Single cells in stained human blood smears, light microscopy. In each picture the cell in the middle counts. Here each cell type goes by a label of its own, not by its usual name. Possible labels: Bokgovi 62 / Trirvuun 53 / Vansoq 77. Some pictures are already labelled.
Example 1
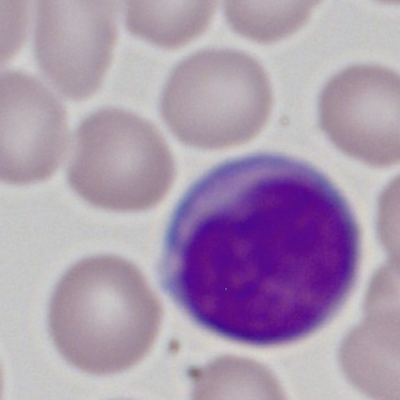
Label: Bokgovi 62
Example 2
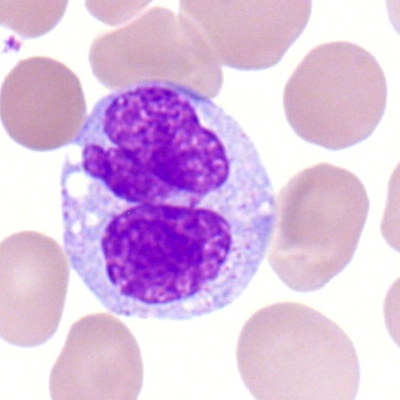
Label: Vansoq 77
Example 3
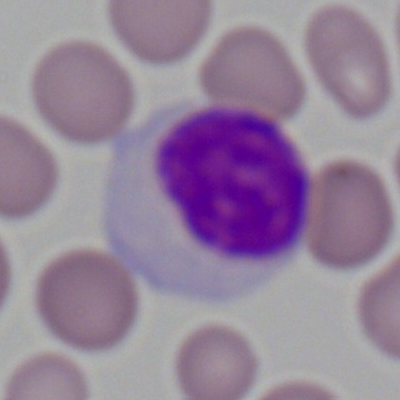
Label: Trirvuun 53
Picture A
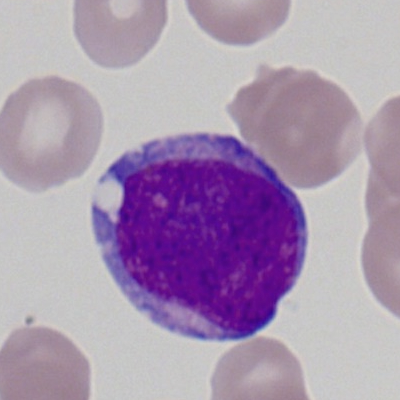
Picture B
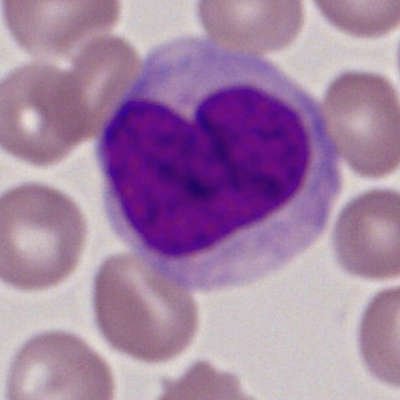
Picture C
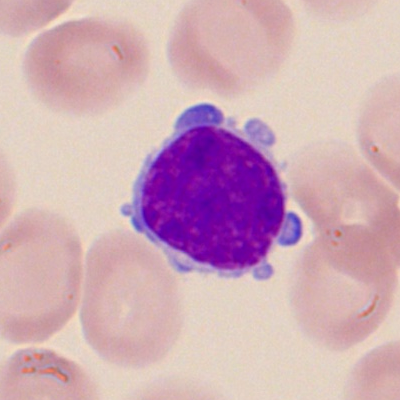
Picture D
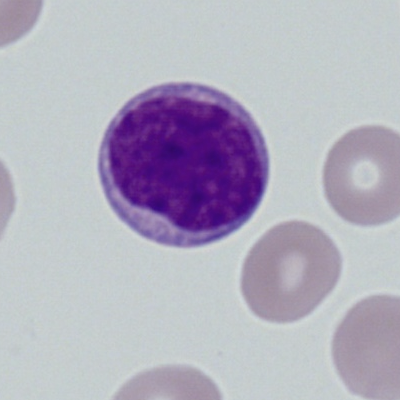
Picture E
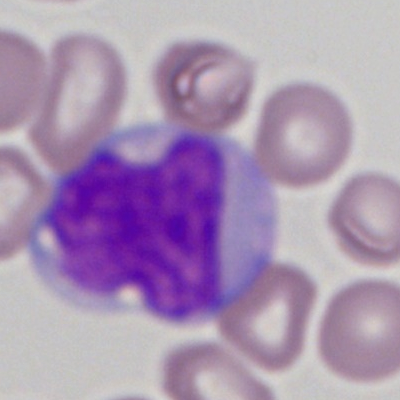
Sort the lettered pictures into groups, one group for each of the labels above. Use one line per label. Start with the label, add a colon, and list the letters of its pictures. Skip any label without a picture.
Bokgovi 62: A
Trirvuun 53: C, D
Vansoq 77: B, E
